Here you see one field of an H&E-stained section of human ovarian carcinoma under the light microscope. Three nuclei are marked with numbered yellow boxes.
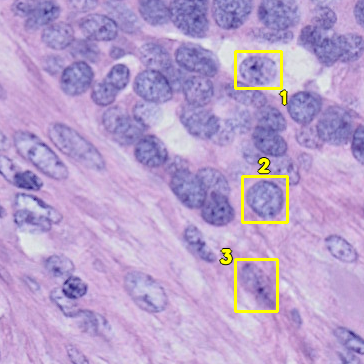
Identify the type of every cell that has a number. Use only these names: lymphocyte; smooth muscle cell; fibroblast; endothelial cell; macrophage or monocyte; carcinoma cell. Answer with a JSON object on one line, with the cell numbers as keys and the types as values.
{"1": "macrophage or monocyte", "2": "carcinoma cell", "3": "fibroblast"}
